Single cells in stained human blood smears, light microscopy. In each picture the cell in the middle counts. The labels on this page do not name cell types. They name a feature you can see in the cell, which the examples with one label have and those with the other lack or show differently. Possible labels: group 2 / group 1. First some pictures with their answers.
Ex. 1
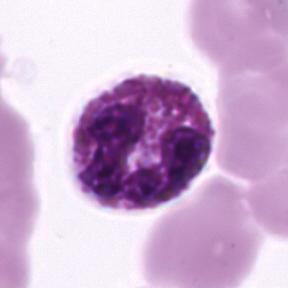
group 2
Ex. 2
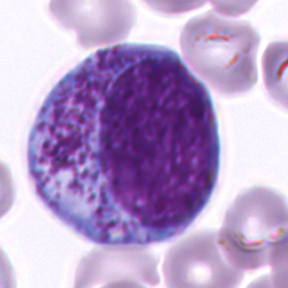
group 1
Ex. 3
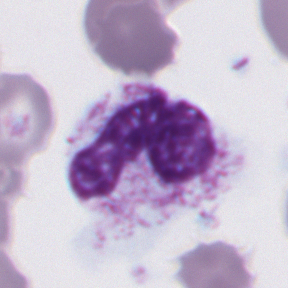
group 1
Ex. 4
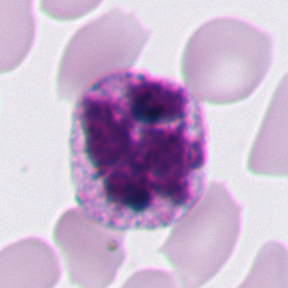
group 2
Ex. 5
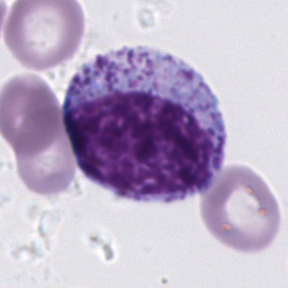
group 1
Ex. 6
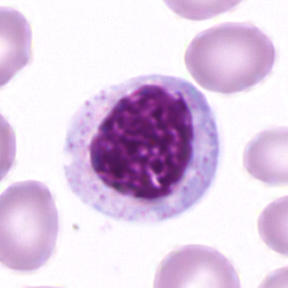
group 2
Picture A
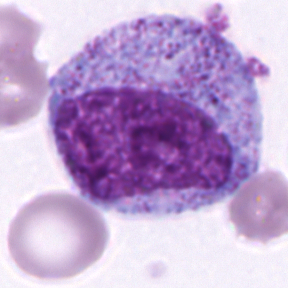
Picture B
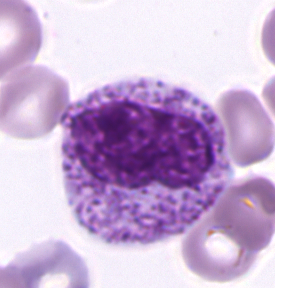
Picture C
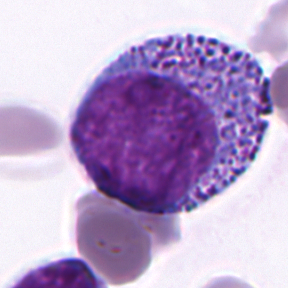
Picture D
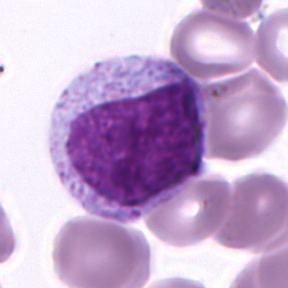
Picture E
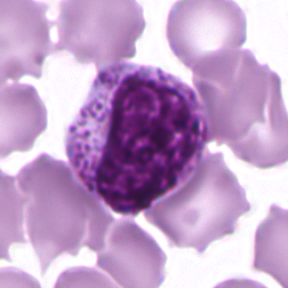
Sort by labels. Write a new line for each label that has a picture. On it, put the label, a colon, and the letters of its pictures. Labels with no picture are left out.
group 2: A, D
group 1: B, C, E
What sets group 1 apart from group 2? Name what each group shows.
In group 1: coarse or large granules. In group 2: fine or small granules.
